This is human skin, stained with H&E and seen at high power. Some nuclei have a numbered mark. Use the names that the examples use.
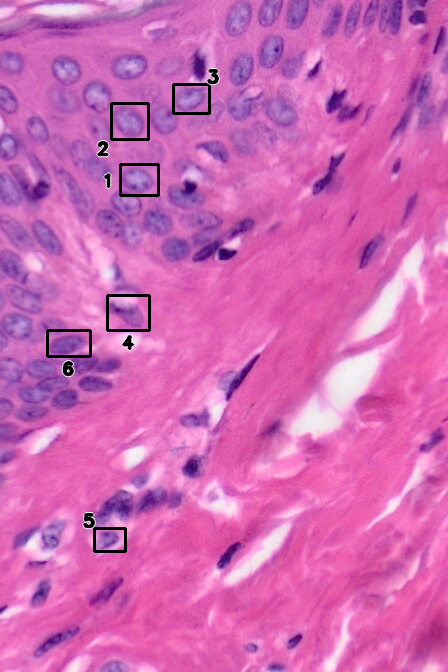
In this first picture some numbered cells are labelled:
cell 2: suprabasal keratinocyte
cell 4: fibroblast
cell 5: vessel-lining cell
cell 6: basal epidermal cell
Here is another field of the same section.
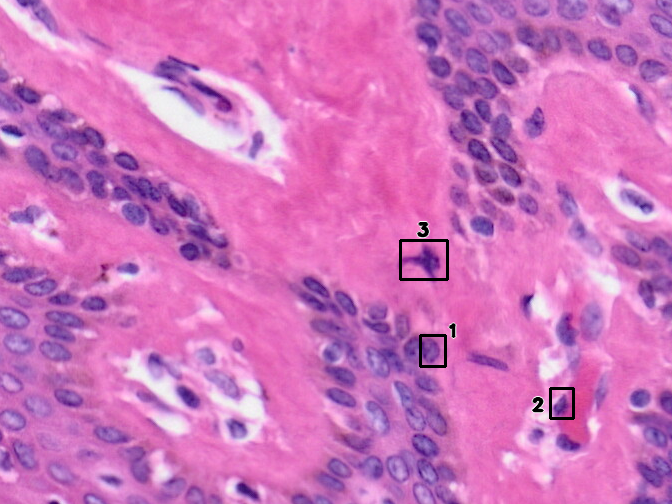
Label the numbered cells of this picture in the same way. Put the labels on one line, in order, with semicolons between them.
basal epidermal cell; vessel-lining cell; fibroblast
